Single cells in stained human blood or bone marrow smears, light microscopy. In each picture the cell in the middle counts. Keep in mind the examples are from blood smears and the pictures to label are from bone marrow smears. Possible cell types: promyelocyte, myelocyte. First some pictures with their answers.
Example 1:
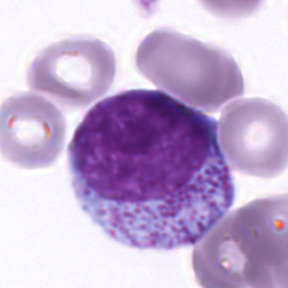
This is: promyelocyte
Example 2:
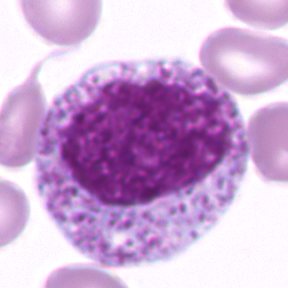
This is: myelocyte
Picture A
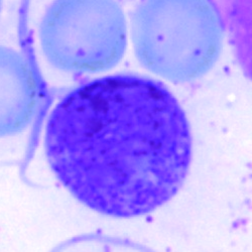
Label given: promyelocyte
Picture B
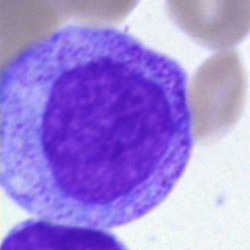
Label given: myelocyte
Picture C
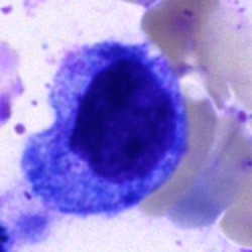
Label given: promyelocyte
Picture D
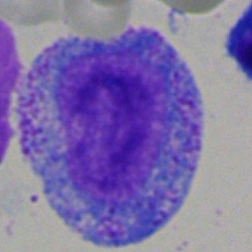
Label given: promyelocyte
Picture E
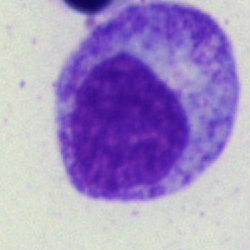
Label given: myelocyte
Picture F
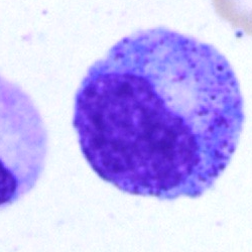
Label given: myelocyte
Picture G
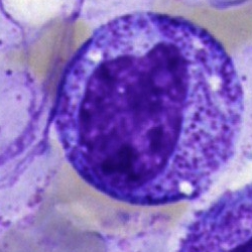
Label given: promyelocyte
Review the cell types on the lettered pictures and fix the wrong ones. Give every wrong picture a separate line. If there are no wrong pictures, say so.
All correct.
